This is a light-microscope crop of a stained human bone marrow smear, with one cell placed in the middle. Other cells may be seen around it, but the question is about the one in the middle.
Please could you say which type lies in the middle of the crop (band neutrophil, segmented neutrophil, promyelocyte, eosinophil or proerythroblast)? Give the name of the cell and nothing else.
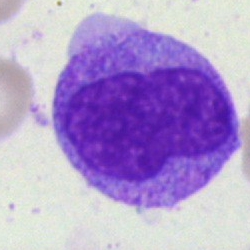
promyelocyte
